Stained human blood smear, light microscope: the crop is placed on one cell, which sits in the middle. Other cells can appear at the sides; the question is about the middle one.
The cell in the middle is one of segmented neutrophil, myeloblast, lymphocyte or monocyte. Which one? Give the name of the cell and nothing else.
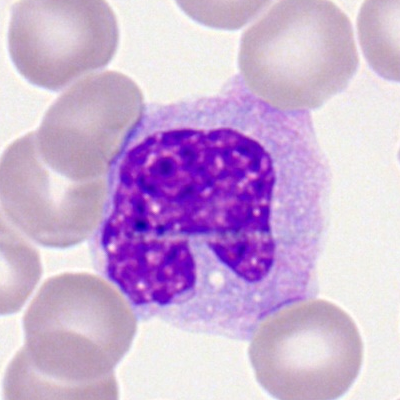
monocyte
